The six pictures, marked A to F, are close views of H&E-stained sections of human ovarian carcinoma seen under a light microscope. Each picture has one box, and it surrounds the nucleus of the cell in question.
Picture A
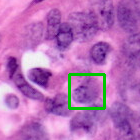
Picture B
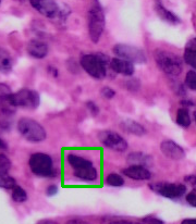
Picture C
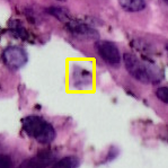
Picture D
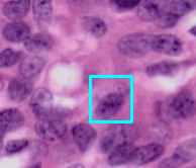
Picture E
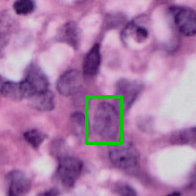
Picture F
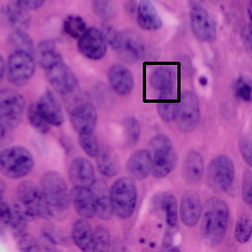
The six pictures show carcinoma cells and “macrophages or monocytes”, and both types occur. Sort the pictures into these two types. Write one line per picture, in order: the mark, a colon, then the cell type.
A: macrophage or monocyte
B: carcinoma cell
C: macrophage or monocyte
D: carcinoma cell
E: carcinoma cell
F: carcinoma cell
